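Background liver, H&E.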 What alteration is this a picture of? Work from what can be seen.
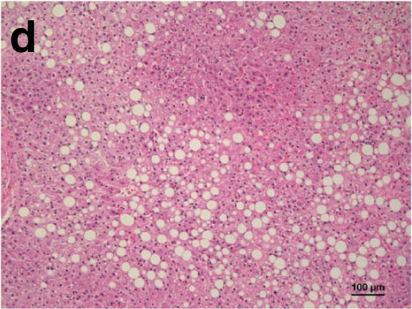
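Numerous round clear vacuoles of varying size within the liver tissue. Many vacuoles are large and fill the cell. Pink hepatocytes lie between the vacuoles. The answer: steatotic.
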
